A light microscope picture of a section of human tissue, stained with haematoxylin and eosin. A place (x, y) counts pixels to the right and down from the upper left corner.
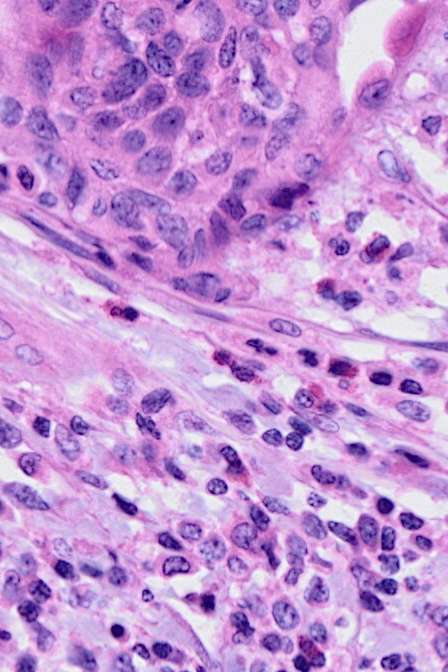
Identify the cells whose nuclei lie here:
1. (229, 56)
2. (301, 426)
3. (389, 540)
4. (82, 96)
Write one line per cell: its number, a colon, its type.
1: squamous carcinoma cell
2: lymphocyte
3: lymphocyte
4: squamous carcinoma cell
